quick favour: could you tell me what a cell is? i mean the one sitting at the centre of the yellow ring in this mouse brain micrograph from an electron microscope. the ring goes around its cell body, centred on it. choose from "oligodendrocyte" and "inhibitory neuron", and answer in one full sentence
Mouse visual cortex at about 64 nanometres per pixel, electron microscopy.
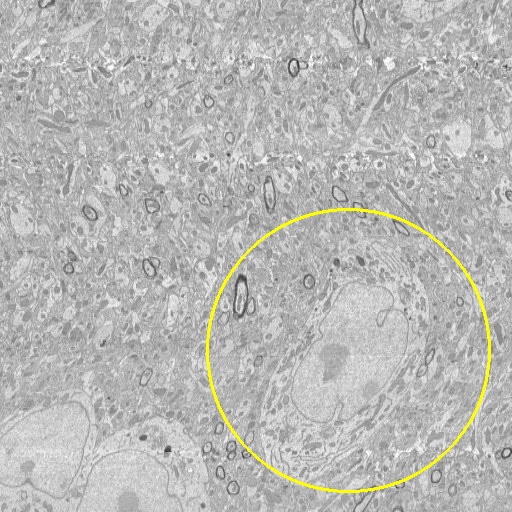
That's an inhibitory neuron, the cell sitting at the centre of the yellow ring.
